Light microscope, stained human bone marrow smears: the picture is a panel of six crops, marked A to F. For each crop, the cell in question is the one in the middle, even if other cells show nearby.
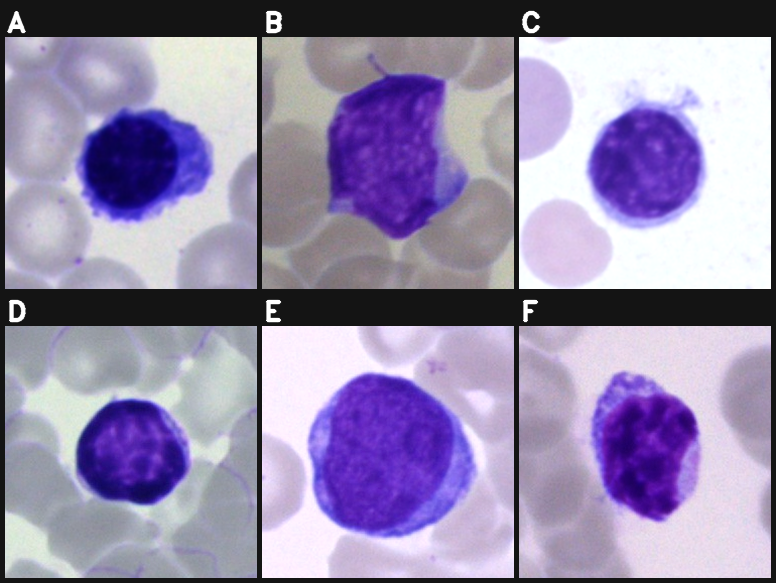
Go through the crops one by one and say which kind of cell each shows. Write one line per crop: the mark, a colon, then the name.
A: normoblast
B: blast
C: lymphocyte
D: lymphocyte
E: blast
F: lymphocyte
